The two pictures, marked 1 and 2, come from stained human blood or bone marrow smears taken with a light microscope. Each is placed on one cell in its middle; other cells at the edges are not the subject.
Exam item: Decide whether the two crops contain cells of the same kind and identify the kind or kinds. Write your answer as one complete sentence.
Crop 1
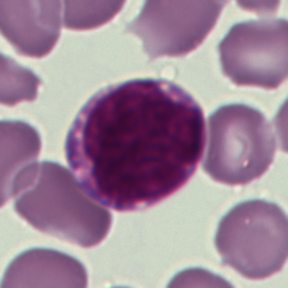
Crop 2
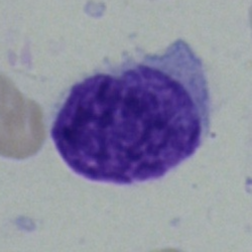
No: a blast sits in crop 1, and a hairy cell sits in crop 2.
